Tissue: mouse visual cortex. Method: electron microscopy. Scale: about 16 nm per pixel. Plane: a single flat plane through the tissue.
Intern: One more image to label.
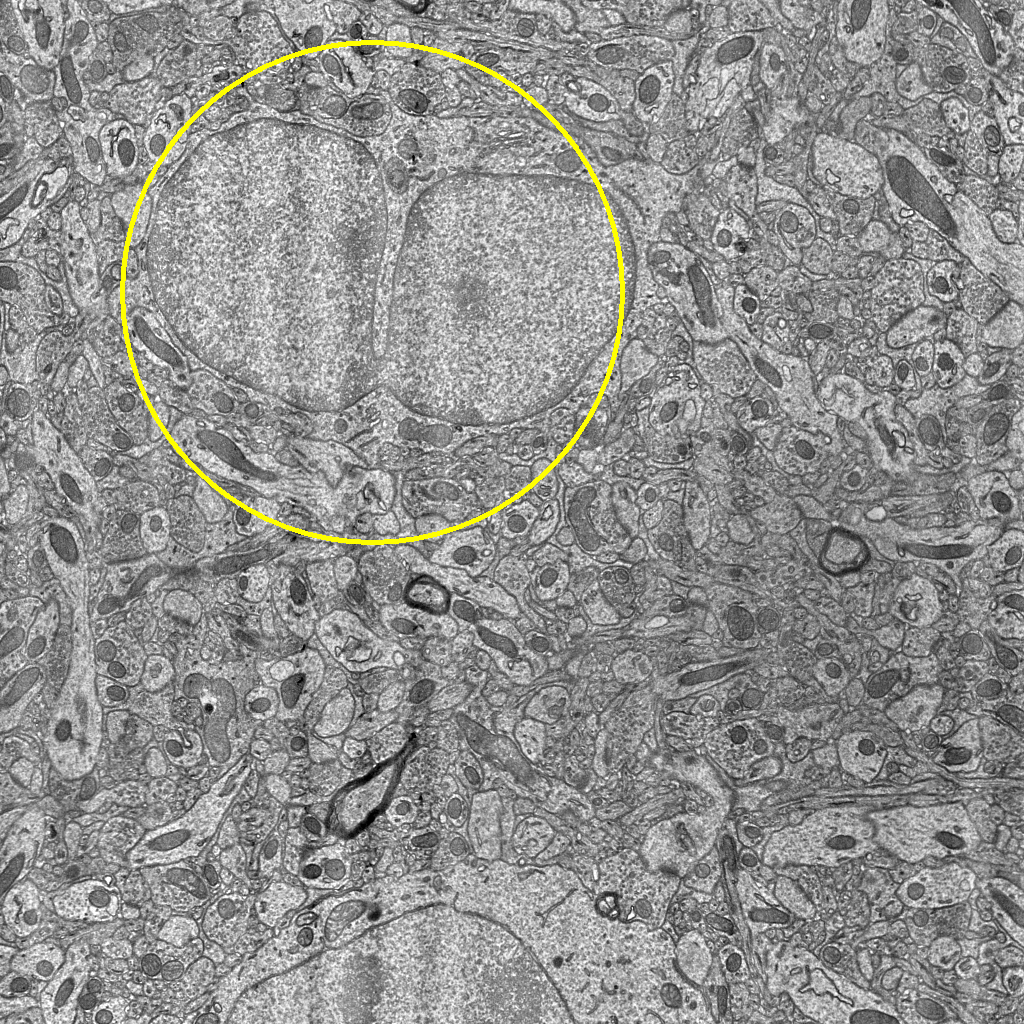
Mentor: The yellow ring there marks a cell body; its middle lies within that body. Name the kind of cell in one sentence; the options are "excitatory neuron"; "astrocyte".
The ring marks the cell body of an astrocyte.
